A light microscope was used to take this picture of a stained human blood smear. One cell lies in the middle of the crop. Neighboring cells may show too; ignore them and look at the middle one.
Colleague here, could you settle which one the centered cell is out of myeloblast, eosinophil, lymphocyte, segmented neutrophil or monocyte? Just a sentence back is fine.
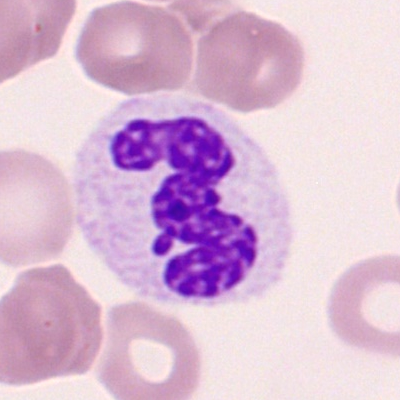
The cell around which this crop is centred is a segmented neutrophil.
